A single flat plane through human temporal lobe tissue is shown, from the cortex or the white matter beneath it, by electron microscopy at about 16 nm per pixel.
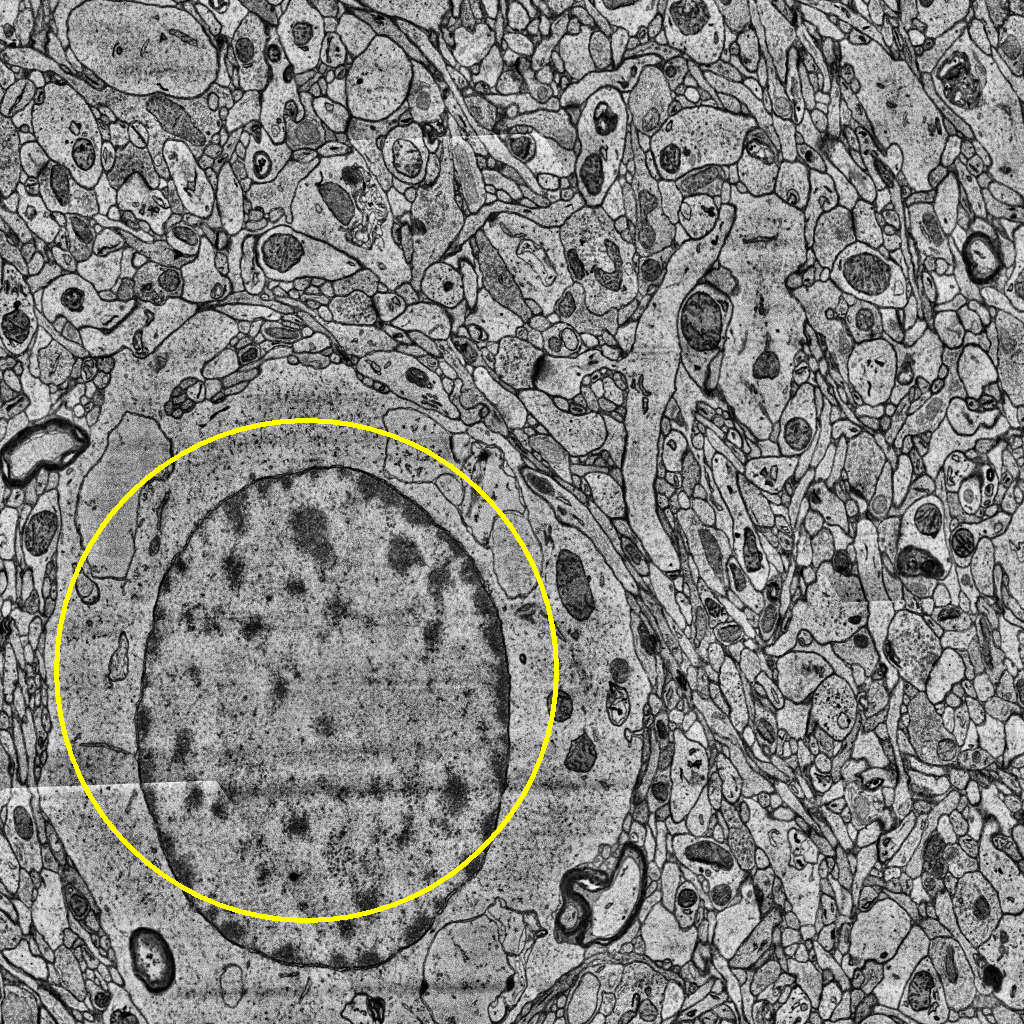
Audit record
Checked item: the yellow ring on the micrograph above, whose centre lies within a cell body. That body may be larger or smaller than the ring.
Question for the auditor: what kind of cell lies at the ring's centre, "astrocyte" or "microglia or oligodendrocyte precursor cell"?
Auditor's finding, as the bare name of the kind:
astrocyte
